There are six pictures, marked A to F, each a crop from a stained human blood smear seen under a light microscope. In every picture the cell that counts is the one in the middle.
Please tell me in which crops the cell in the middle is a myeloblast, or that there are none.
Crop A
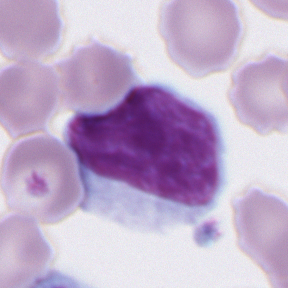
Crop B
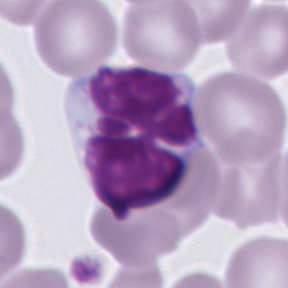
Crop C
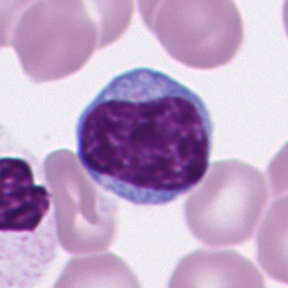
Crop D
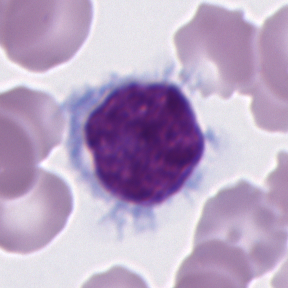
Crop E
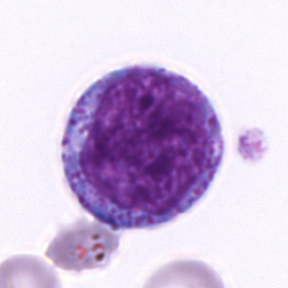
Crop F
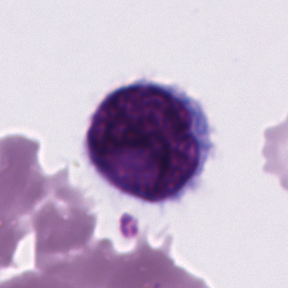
none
